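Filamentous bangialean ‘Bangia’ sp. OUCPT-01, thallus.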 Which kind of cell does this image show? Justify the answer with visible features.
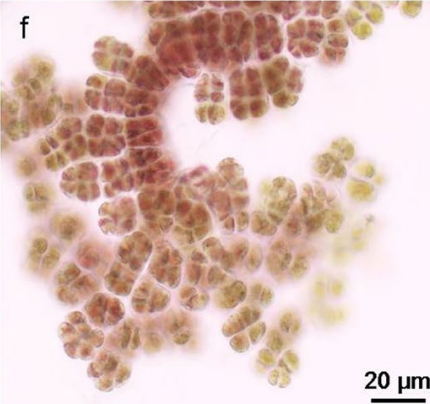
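Reproductive cells. Many small pigmented cells lie in packets of two and four. Some packets have come loose from the mass.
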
